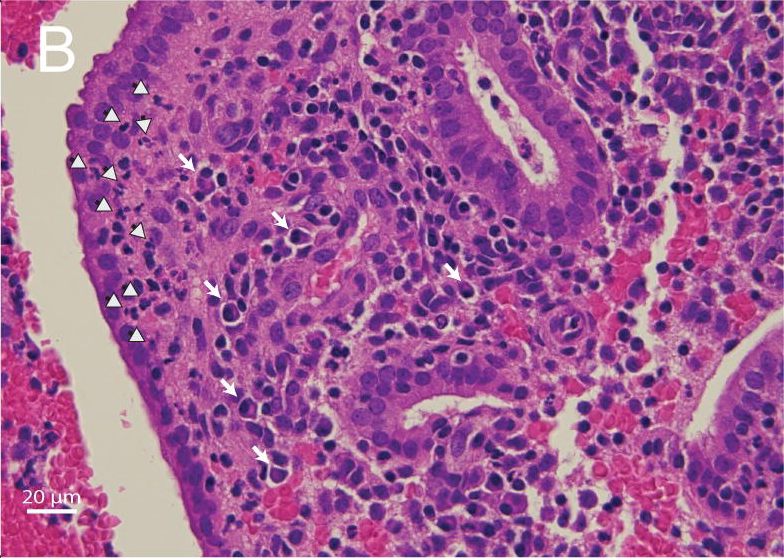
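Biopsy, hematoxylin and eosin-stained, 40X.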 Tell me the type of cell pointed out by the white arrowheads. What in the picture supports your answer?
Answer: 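Neutrophils. Small, dark, compact nuclei lying among the surface epithelial cells. The marked nuclei are smaller and darker than the oval epithelial nuclei beside them.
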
